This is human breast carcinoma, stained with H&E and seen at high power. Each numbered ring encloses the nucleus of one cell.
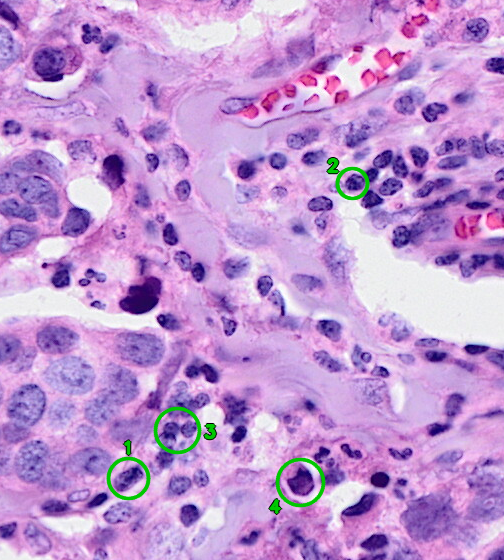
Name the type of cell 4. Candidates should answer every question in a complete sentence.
What the number 4 marks in this field is a carcinoma cell.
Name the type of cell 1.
Cell number 1 in this section is a lymphocyte.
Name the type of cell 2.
The cell numbered 2 represents a lymphocyte.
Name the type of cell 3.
What the number 3 marks in this field is a lymphocyte.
